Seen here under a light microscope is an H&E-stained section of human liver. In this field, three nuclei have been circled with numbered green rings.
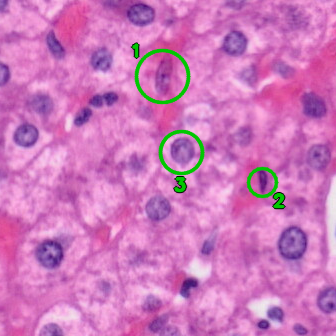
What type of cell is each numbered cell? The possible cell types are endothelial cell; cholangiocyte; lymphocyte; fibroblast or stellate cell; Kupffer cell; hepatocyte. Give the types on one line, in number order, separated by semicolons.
Kupffer cell; endothelial cell; hepatocyte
